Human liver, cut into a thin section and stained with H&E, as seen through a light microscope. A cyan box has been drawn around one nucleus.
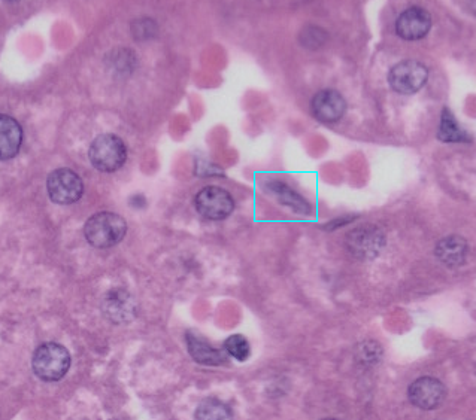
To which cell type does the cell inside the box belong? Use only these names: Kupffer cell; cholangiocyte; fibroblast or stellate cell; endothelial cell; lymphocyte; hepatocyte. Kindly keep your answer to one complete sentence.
As classified here, the cell inside the box is a Kupffer cell.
